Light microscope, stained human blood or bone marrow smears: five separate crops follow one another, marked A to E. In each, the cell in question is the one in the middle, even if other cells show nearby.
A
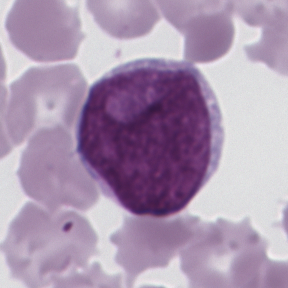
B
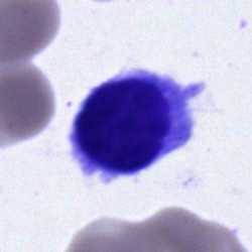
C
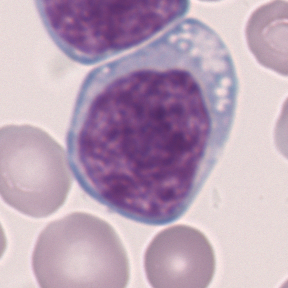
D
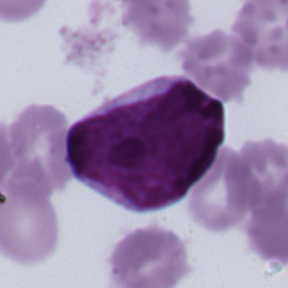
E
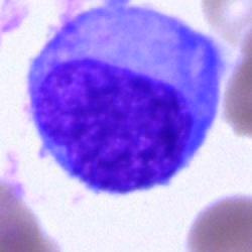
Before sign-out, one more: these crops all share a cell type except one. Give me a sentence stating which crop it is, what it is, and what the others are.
In contrast to the other crops, all of which show blasts, crop B shows a lymphocyte.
